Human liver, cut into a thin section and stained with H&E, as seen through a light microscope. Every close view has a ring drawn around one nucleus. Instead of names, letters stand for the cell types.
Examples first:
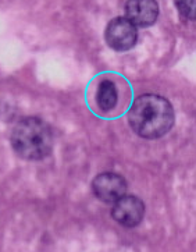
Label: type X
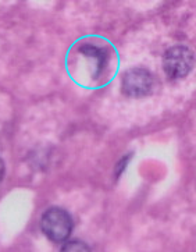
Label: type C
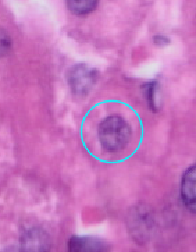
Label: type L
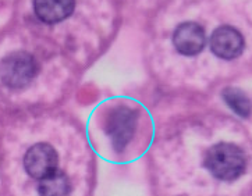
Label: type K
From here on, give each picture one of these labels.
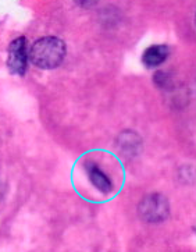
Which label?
type X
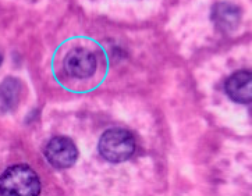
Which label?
type L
